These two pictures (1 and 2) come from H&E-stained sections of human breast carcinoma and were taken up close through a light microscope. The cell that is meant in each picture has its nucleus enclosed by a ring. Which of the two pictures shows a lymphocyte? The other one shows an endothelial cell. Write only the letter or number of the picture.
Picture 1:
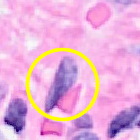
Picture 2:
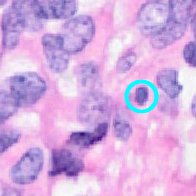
2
